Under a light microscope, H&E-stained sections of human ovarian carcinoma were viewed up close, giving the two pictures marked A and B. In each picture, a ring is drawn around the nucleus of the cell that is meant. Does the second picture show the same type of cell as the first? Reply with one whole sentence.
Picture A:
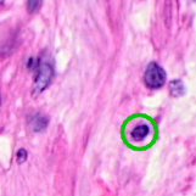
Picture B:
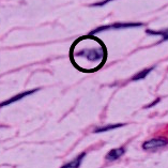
No, picture A shows a lymphocyte and picture B shows a fibroblast.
